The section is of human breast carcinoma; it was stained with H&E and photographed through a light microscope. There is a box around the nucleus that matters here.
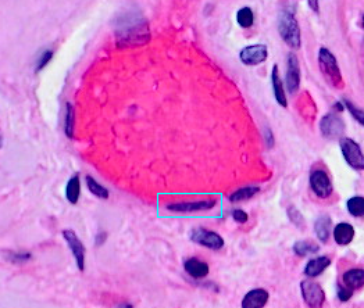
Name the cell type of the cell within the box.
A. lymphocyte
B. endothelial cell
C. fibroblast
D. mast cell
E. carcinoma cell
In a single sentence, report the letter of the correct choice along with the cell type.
Identified correctly by option B, the cell within the box is an endothelial cell.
